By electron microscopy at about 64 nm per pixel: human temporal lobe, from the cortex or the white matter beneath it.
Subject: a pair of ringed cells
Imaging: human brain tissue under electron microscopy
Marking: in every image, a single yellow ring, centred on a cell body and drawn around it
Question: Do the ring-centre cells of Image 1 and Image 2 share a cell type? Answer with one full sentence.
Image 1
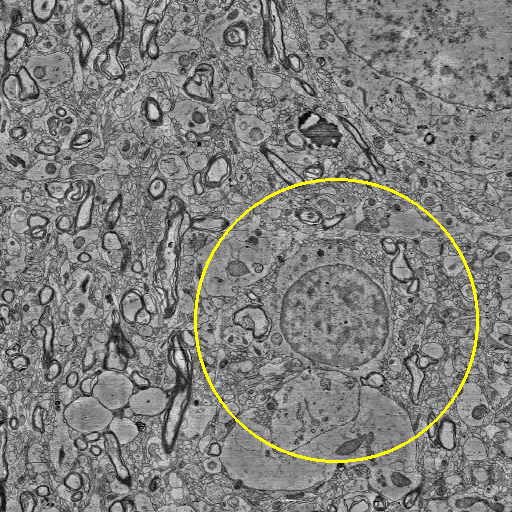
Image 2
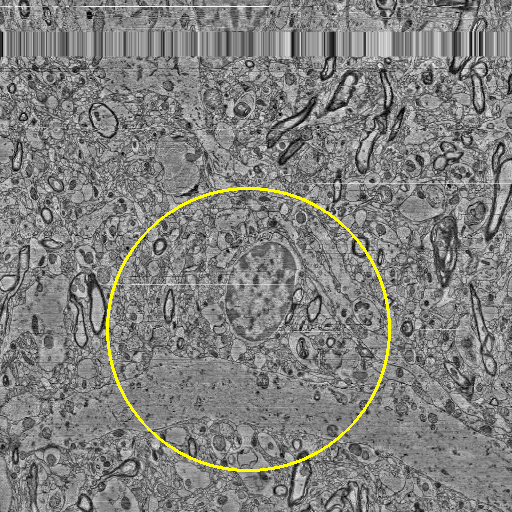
No, at the ring centres in the images sit cells of two separate types.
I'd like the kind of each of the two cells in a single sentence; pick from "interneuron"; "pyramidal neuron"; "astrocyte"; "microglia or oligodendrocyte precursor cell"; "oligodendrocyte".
The first ring marks an oligodendrocyte, and the second ring marks a microglial cell or oligodendrocyte precursor cell.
